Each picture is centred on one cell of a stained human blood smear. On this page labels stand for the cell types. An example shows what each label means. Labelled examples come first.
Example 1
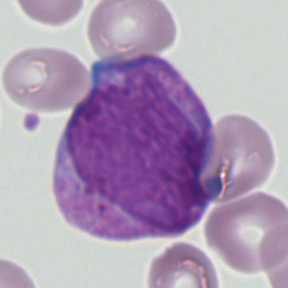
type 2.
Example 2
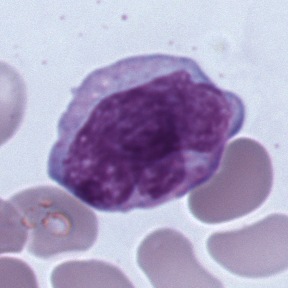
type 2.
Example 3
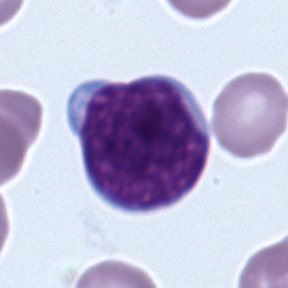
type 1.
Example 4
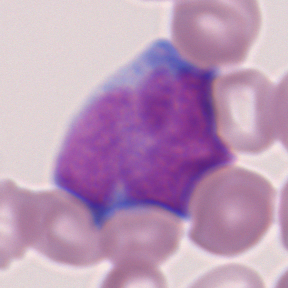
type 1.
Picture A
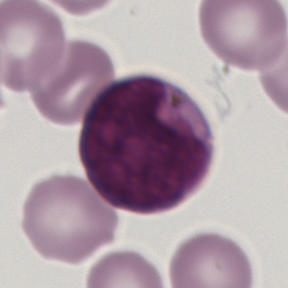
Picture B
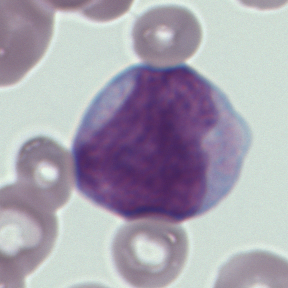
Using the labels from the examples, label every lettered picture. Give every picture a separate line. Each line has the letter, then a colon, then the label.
A: type 1.
B: type 2.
